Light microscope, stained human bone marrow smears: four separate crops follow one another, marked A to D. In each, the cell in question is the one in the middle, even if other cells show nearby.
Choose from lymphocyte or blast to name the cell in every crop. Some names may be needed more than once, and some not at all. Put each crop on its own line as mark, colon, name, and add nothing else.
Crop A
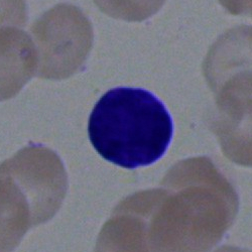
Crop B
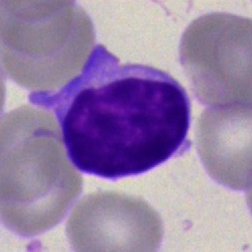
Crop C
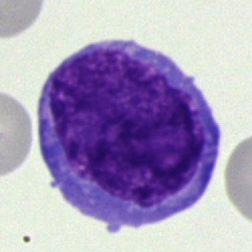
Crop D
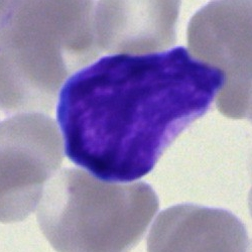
A: lymphocyte
B: lymphocyte
C: blast
D: blast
